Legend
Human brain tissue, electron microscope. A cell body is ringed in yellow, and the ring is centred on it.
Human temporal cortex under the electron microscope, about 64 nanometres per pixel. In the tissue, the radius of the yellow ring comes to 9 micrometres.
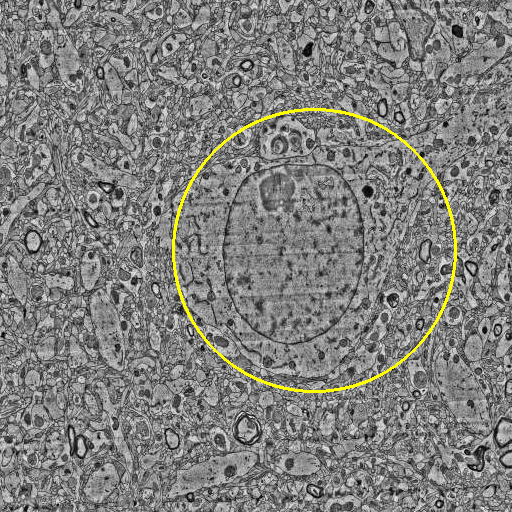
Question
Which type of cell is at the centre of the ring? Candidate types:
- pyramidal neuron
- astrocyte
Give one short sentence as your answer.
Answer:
The yellow ring is centred here on a pyramidal neuron.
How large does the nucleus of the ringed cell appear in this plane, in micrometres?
Approximately 12 x 9 micrometres in this plane.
